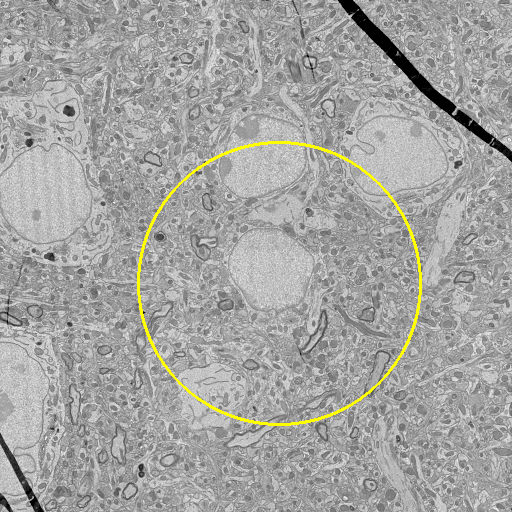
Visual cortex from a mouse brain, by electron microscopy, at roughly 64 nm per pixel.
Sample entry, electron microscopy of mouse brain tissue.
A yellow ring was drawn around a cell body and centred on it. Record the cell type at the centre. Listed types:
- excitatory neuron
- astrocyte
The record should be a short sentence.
The cell at the ring's centre is an astrocyte.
